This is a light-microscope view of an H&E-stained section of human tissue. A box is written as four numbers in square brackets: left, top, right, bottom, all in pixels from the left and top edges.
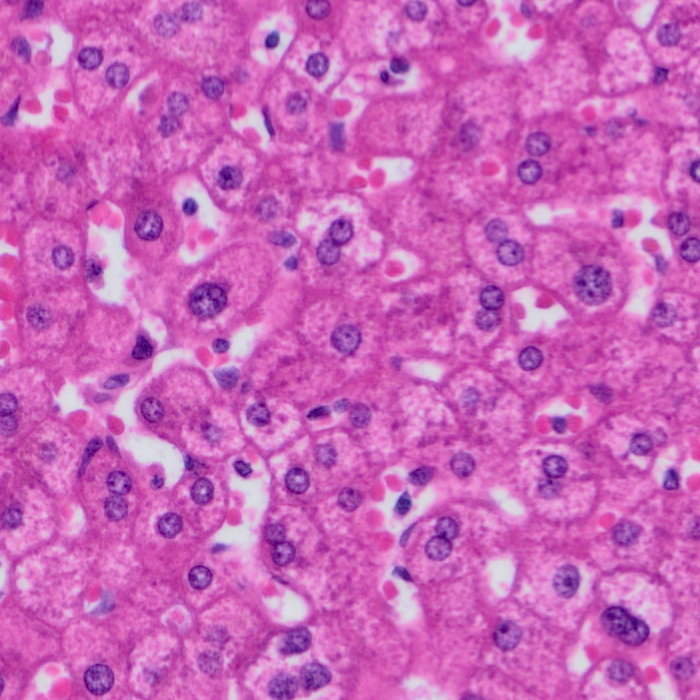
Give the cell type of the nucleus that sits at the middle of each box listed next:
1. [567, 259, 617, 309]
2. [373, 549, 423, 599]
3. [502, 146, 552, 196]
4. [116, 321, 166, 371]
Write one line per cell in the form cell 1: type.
cell 1: hepatocyte
cell 2: endothelial cell
cell 3: hepatocyte
cell 4: Kupffer cell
